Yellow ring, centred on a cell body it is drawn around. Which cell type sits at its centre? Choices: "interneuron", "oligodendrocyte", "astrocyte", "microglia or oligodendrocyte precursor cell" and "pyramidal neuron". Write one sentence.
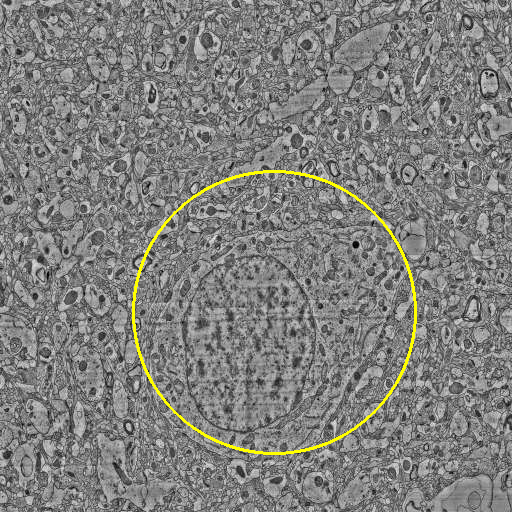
At the centre of the ring sits an interneuron.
